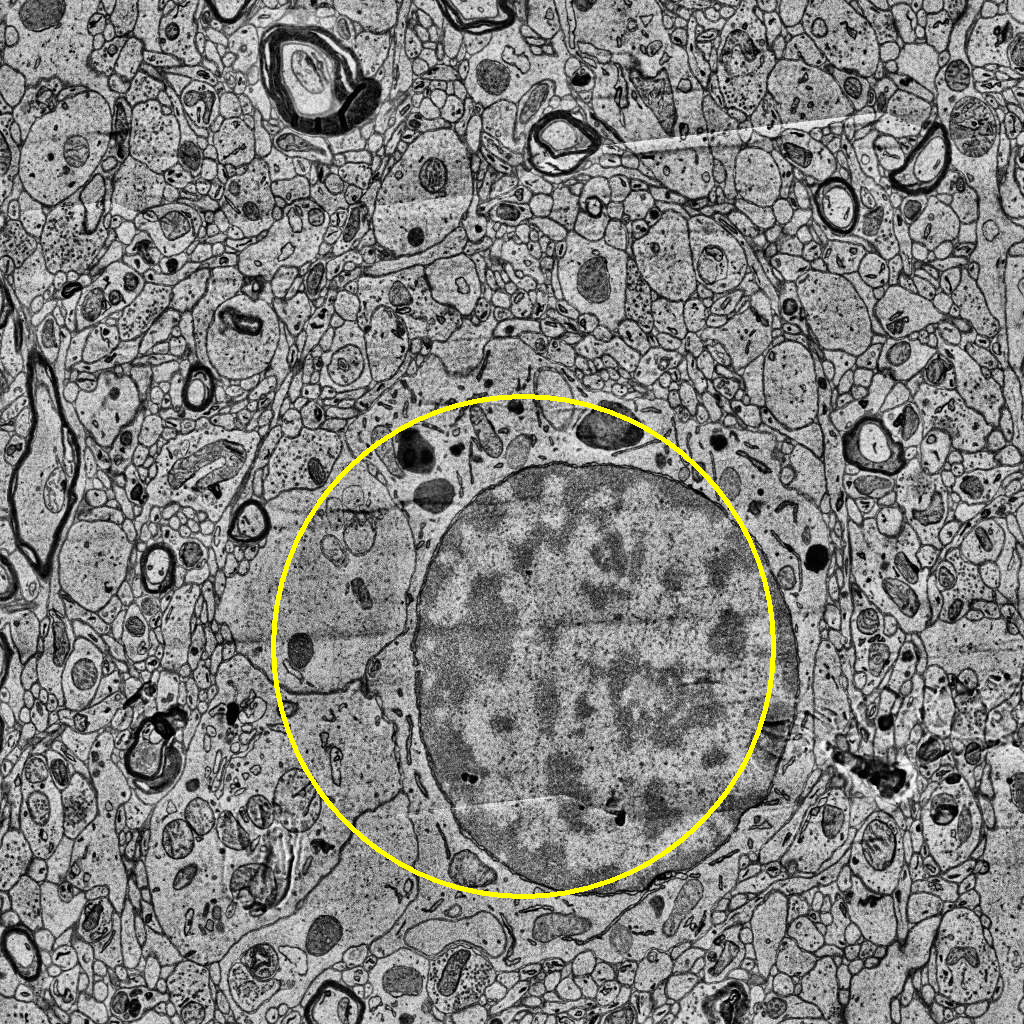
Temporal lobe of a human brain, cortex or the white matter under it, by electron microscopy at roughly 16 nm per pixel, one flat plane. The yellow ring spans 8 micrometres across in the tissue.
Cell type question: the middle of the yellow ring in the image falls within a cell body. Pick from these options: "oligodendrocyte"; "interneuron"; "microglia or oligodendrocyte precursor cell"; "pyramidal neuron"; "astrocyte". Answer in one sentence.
The cell body at the center of the ring belongs to a microglial cell or oligodendrocyte precursor cell.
